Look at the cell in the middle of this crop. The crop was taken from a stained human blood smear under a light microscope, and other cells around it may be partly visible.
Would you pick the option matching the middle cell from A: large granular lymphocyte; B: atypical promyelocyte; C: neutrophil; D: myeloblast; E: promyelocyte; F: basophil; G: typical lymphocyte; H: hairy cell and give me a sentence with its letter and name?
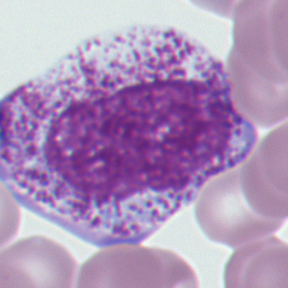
The cell centred in the crop is a promyelocyte, and the correct option is thus E.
